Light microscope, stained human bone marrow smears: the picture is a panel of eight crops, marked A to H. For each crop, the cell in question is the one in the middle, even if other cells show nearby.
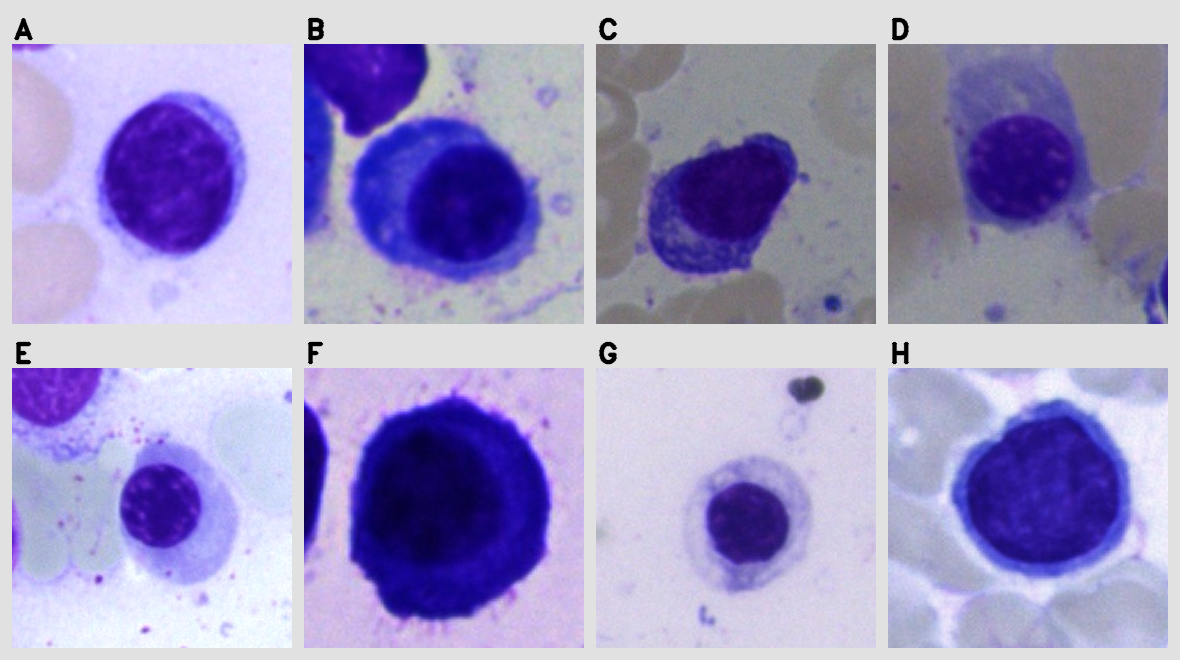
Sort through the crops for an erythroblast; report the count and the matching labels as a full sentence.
Classed as erythroblasts are the central cells of three crops, D, E and G.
